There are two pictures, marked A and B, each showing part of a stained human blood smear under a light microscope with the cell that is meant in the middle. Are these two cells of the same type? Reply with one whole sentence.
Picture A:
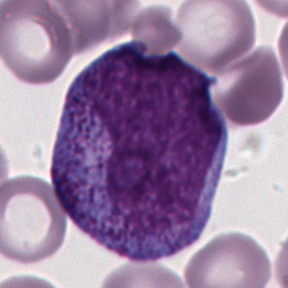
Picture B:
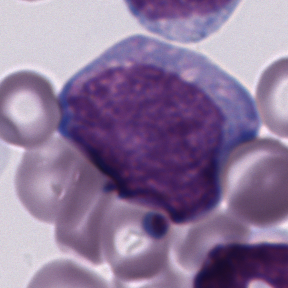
Yes, they are the same type: both are promyelocytes.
